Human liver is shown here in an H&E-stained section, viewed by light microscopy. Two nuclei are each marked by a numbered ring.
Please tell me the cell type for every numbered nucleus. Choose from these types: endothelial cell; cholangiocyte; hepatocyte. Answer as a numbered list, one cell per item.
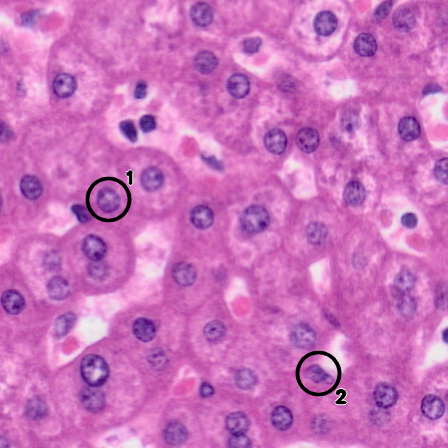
1. hepatocyte
2. endothelial cell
